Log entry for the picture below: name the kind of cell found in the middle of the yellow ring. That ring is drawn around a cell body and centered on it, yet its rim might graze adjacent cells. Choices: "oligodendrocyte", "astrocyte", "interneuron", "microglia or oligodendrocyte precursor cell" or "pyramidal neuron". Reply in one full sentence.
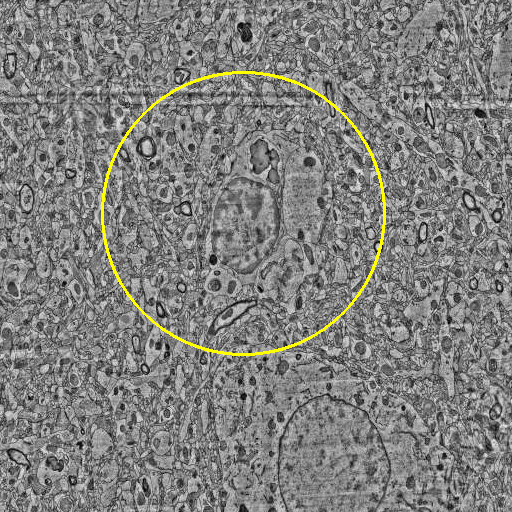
The cell in the middle of the yellow ring in this picture is a microglial cell or oligodendrocyte precursor cell.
